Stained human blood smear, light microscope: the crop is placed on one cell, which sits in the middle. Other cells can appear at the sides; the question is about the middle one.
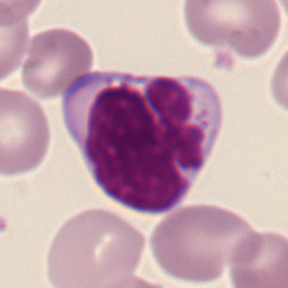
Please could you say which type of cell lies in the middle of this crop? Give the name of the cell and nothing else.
large granular lymphocyte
